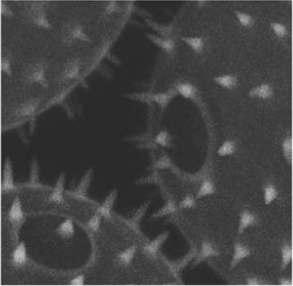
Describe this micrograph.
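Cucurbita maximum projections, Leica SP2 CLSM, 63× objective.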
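Close view of parts of several spiny pollen grains. The wall surface shows scattered bright conical spines, seen end-on as bright spots on the face of the grains and in profile as sharp tapered points along the edges. Large round to oval darker areas in the wall mark pores, each bordered by a thin brighter rim. The edges of neighbouring grains overlap the field, with dark background between them.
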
